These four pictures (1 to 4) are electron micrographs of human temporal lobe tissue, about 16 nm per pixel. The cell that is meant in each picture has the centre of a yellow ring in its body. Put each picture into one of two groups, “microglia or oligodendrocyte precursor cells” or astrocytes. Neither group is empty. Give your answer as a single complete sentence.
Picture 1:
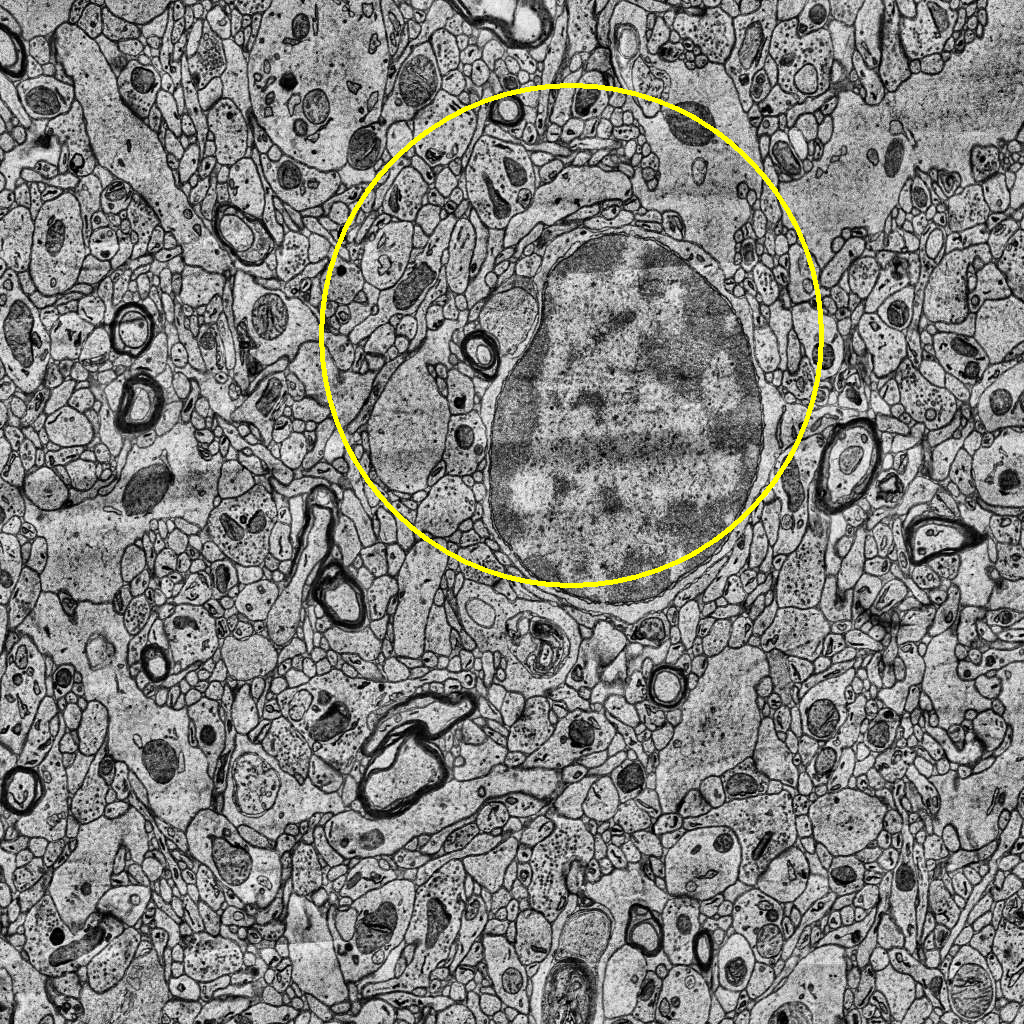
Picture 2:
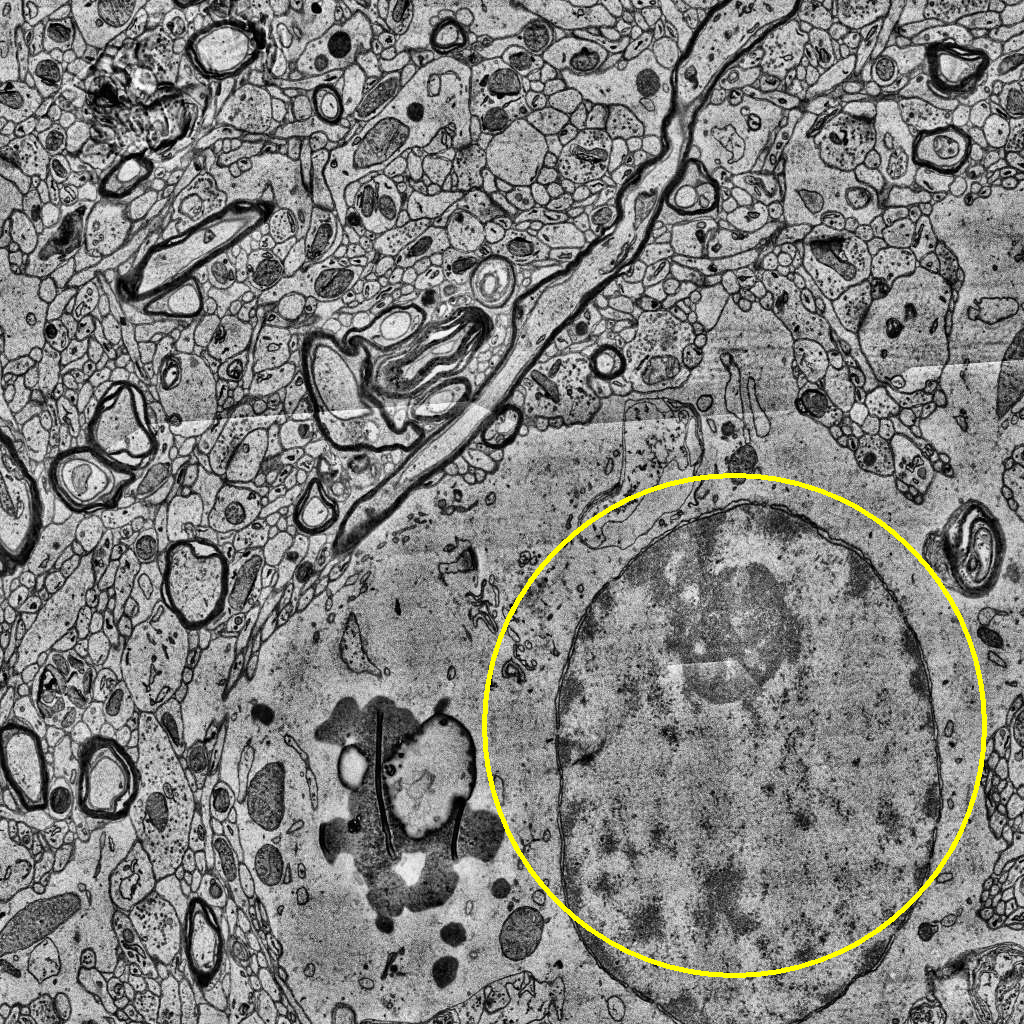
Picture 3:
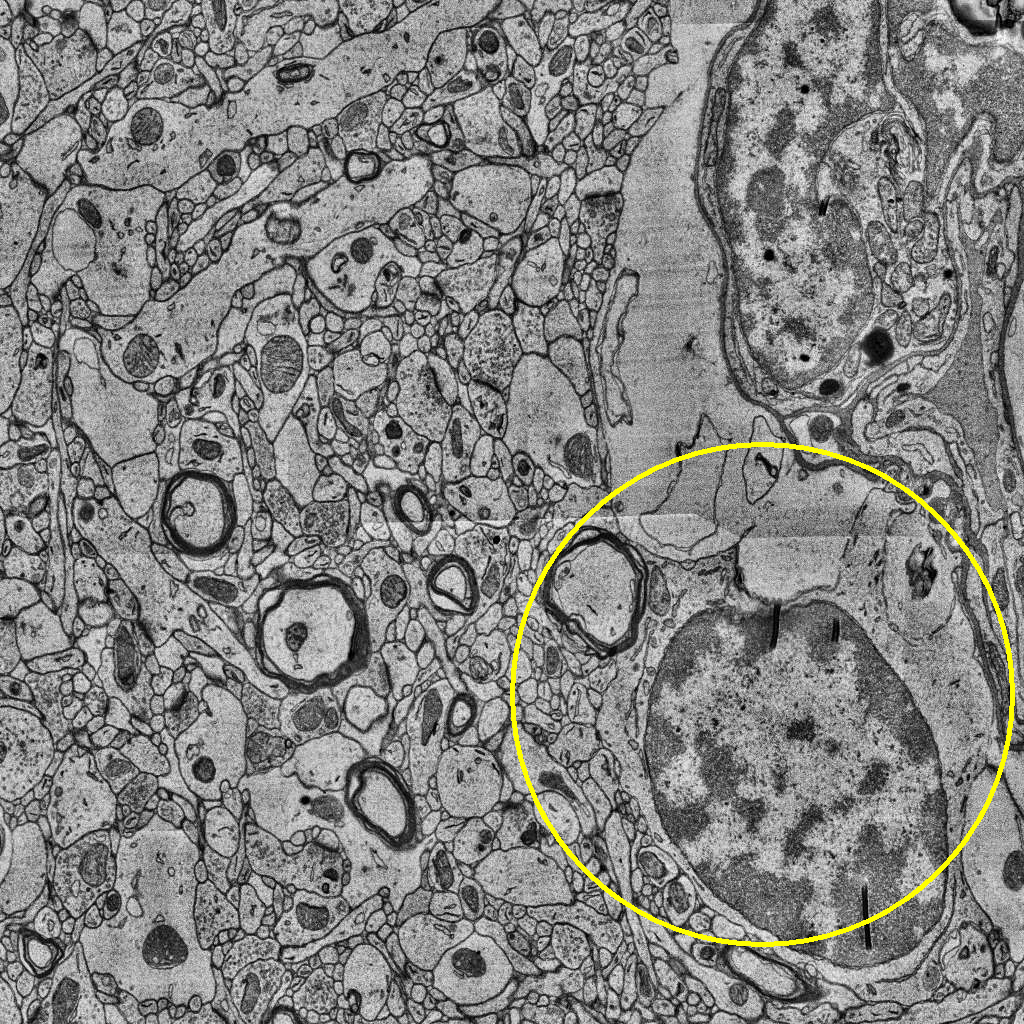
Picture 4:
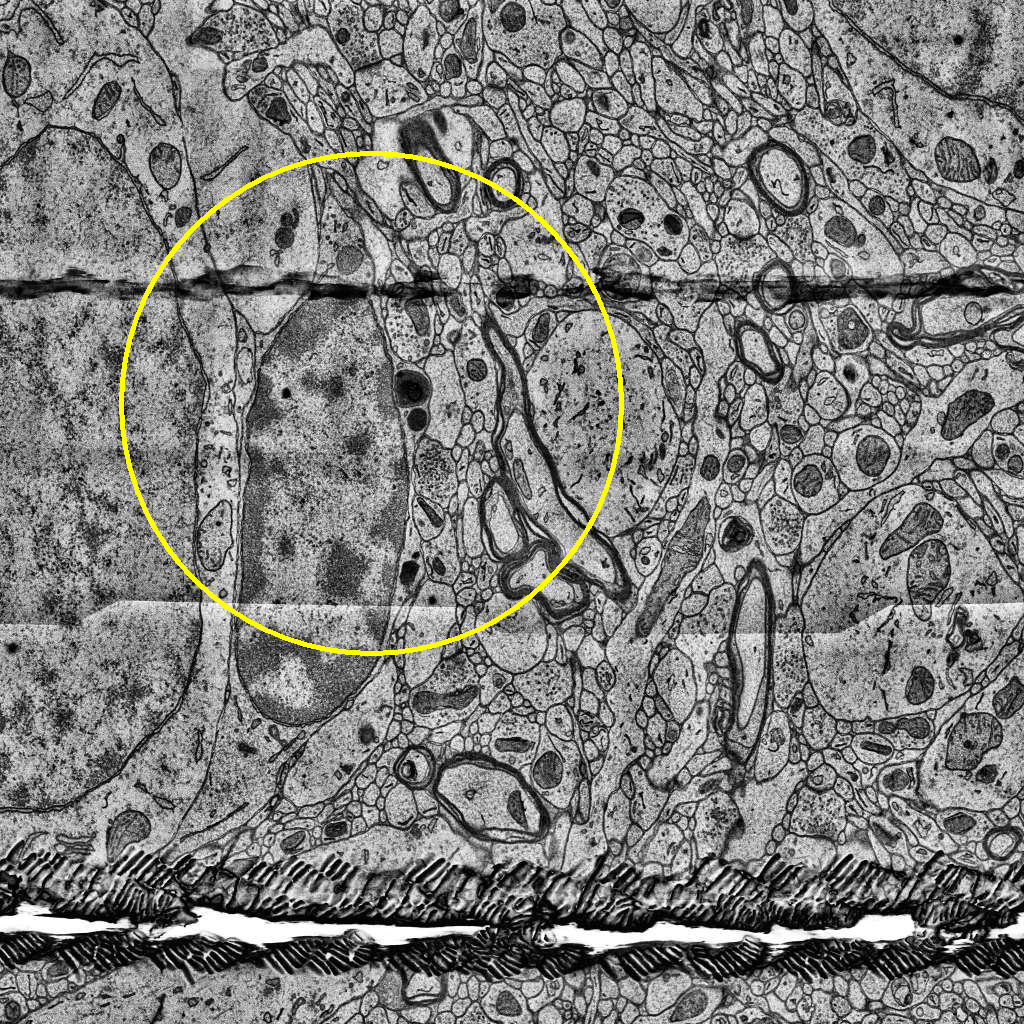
Pictures 1, 3 and 4 show “microglia or oligodendrocyte precursor cells”, while picture 2 shows an astrocyte.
